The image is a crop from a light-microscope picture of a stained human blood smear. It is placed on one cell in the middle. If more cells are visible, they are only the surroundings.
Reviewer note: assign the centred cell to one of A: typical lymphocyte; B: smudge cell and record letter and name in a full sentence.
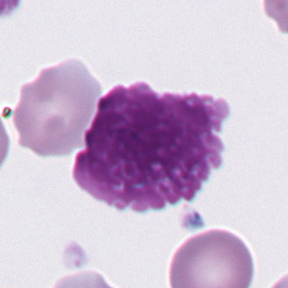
Option B is the right choice, the central cell being a smudge cell.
